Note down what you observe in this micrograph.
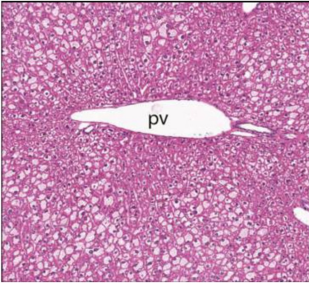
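Here we see liver with fatty change of the hepatocytes. A wide, elongated vessel runs across the middle, and around it the liver cells form plates of polygonal cells, each with a round, dark purple nucleus. Their cytoplasm is pale pink, and many of them hold clear, round vacuoles, mostly small to middle-sized, that make the cells look foamy and pale.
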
